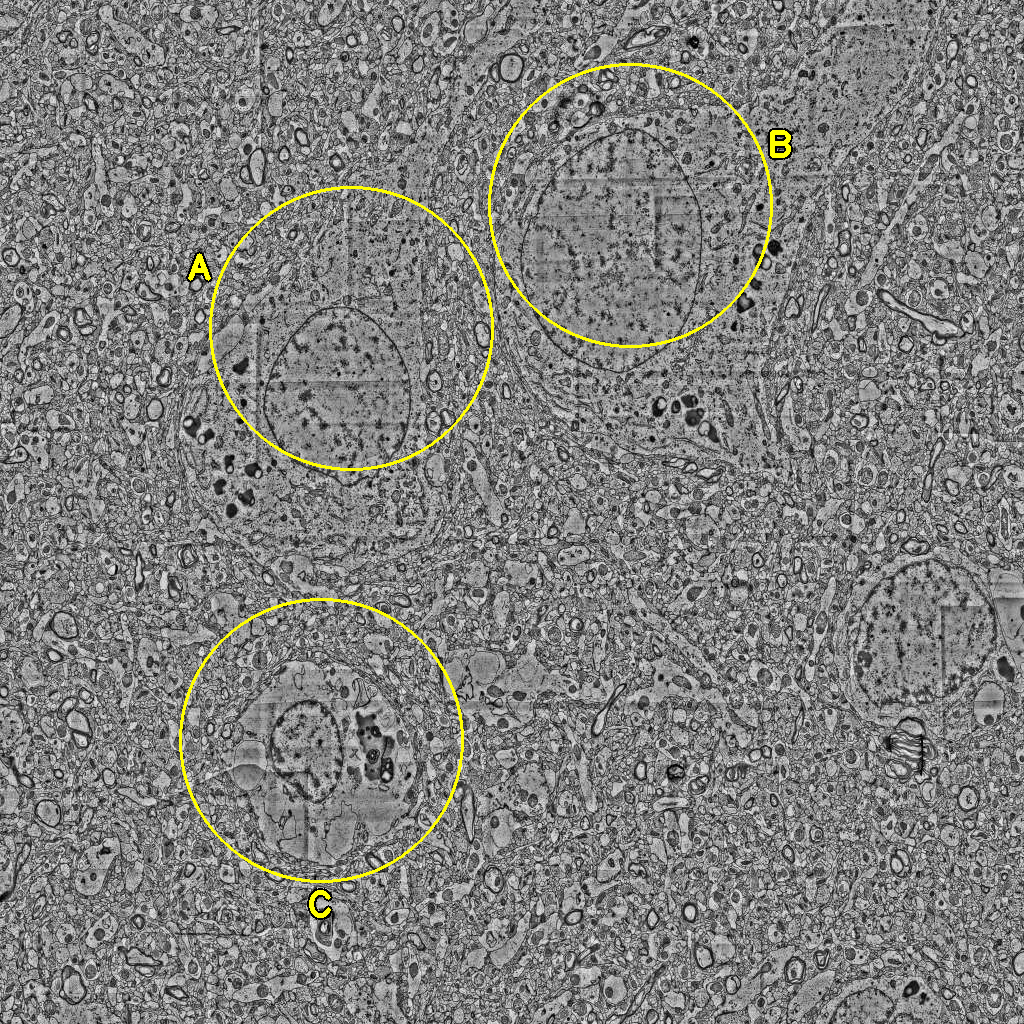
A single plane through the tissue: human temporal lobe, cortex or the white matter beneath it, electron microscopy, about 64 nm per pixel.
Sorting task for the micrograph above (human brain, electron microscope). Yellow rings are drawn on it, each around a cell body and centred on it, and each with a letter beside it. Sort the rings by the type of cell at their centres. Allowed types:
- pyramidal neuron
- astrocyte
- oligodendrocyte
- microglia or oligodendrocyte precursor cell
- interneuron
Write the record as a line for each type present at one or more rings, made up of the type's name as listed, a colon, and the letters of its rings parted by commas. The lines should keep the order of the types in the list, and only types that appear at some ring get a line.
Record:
pyramidal neuron: A, B
astrocyte: C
